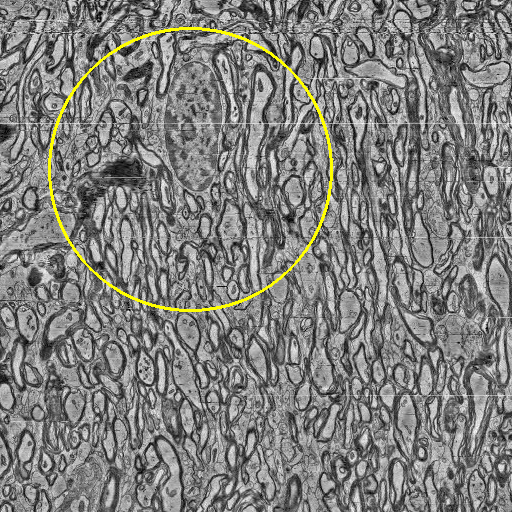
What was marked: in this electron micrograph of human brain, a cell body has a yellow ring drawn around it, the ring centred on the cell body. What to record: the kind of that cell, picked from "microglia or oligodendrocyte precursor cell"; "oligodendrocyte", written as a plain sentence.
The centred cell is a microglial cell or oligodendrocyte precursor cell.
